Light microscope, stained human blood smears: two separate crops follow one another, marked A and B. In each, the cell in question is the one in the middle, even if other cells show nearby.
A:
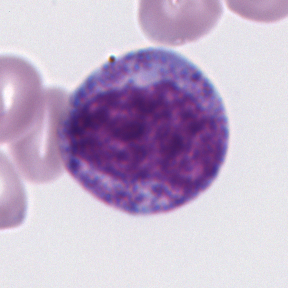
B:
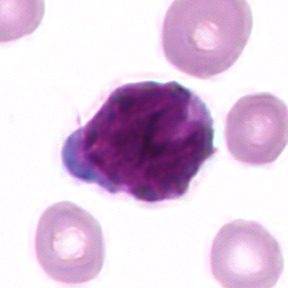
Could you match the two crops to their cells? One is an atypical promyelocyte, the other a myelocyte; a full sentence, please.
Displayed in crop A is a myelocyte, while crop B displays an atypical promyelocyte.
